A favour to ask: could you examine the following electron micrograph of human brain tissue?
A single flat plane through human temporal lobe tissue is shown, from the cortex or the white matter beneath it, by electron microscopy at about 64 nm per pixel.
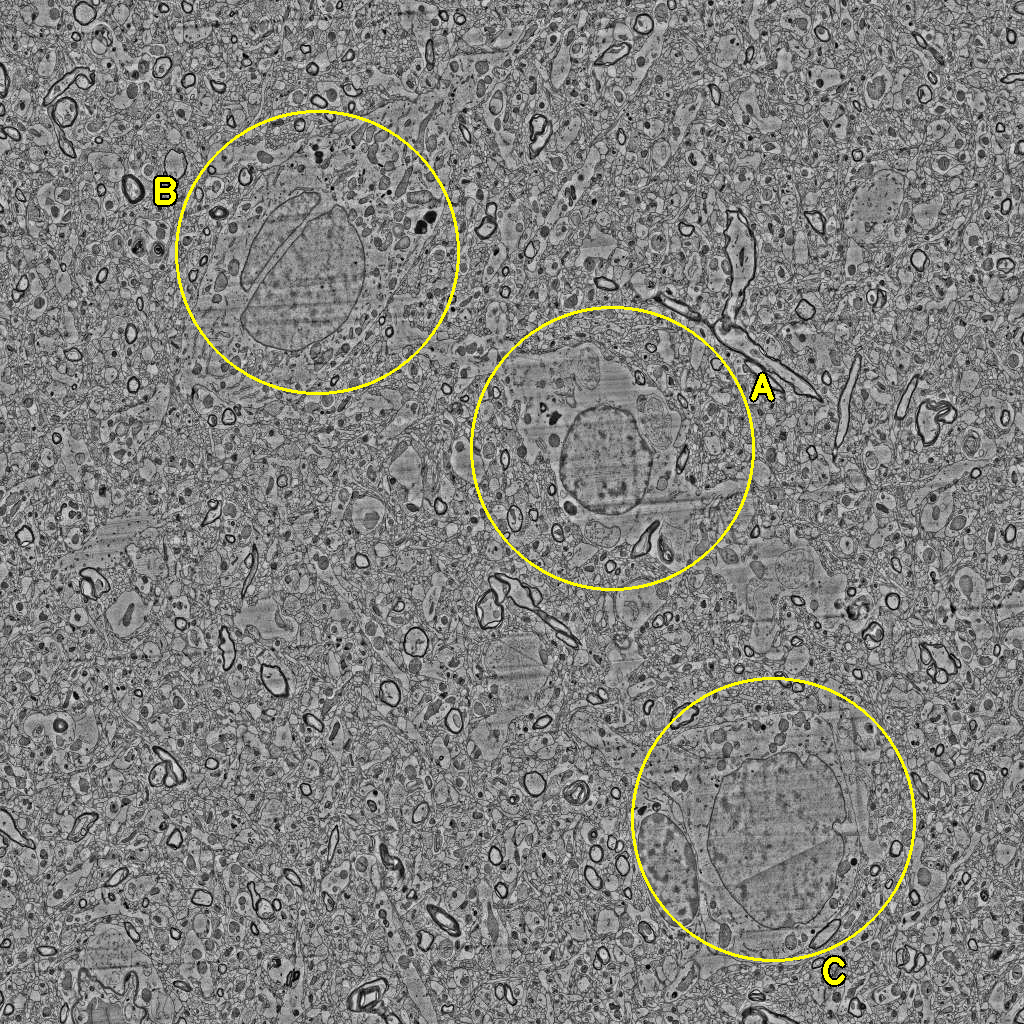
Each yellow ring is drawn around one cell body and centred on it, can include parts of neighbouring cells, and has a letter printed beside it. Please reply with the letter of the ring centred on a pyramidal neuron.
C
